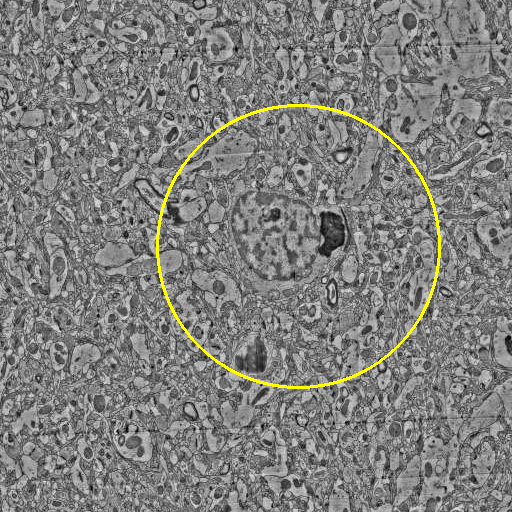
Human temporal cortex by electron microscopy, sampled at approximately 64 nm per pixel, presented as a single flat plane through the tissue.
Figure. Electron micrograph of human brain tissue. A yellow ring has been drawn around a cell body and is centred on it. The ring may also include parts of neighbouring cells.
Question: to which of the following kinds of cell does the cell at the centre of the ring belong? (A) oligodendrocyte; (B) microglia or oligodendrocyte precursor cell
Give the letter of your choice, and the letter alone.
A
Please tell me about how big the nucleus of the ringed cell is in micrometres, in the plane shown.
The nucleus is approximately 6 micrometers across in this plane.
